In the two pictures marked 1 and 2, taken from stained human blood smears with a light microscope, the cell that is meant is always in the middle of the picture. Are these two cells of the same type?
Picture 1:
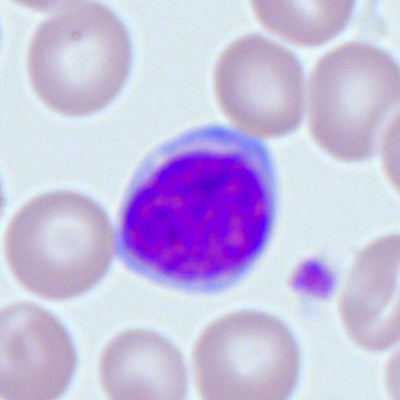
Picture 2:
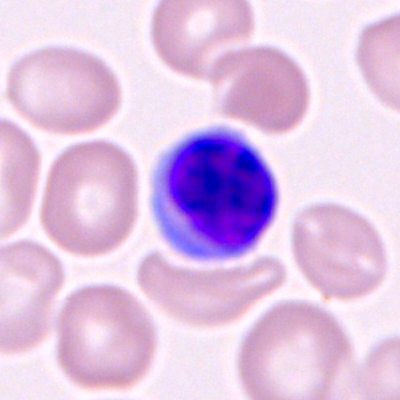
yes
